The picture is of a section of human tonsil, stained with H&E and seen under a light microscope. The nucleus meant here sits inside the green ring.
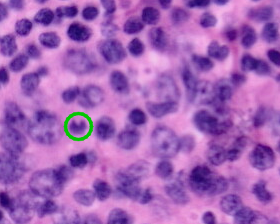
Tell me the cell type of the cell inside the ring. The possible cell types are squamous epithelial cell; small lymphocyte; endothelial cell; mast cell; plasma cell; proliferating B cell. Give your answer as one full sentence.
In this section of tissue, the cell inside the ring is a proliferating B cell.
